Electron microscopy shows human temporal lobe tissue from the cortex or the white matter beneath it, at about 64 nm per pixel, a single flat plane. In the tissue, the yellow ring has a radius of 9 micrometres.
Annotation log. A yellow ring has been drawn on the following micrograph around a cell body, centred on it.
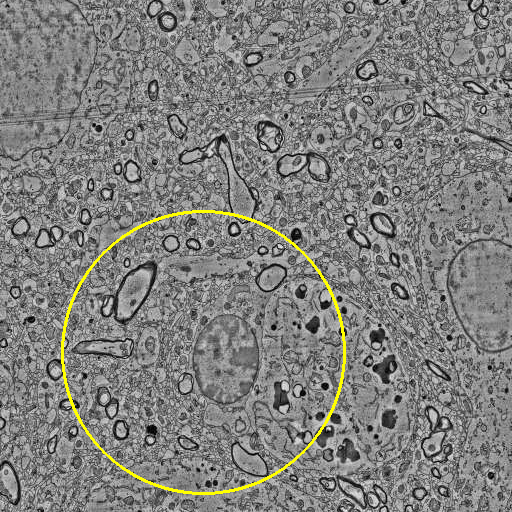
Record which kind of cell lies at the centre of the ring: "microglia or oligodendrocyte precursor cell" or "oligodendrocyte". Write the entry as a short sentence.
The cell the ring is centred on is a microglial cell or oligodendrocyte precursor cell.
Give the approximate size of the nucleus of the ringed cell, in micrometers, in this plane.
In this plane, about 6 micrometres in length and 4 in width.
